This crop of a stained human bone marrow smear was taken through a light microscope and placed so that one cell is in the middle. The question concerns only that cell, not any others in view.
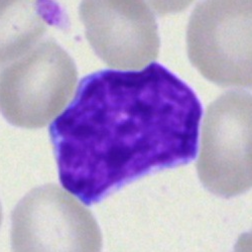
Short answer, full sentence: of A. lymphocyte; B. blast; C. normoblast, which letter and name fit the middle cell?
The one to choose is option B, as the cell in the middle is a blast.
